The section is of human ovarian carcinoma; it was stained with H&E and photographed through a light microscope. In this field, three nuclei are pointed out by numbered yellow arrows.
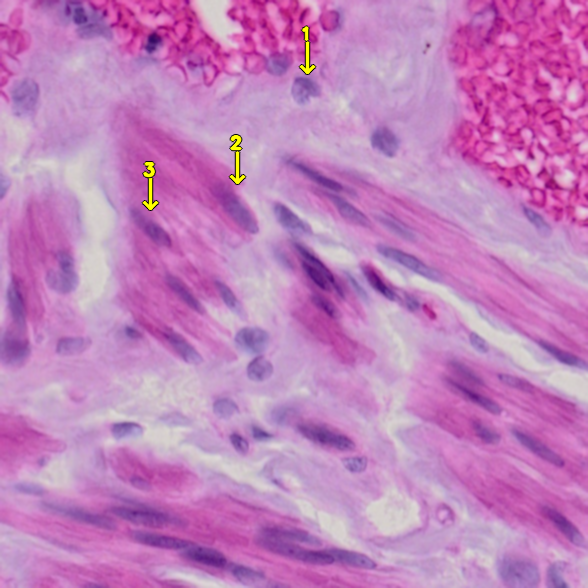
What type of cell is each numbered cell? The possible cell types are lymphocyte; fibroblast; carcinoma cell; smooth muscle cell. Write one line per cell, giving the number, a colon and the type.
1: fibroblast
2: smooth muscle cell
3: smooth muscle cell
